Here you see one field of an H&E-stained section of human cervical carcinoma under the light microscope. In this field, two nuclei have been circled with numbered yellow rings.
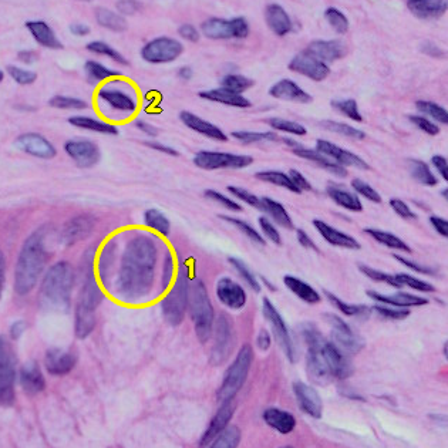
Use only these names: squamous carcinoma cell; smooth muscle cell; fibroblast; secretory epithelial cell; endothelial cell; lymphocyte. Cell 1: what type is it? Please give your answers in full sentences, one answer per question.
The cell with the number 1 is a secretory epithelial cell.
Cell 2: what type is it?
The cell referred to as 2 is a fibroblast.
